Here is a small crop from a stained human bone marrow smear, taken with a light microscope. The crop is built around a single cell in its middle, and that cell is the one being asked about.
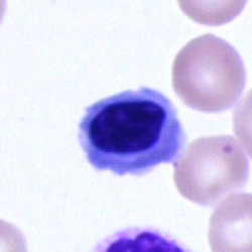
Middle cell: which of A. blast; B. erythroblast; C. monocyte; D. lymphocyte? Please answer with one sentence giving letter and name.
The cell centered in the crop is an erythroblast, making option B the correct pick.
